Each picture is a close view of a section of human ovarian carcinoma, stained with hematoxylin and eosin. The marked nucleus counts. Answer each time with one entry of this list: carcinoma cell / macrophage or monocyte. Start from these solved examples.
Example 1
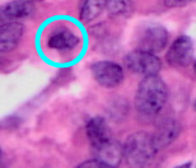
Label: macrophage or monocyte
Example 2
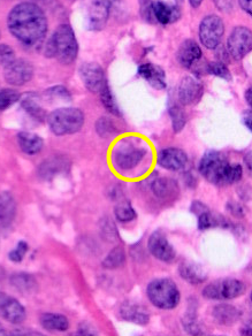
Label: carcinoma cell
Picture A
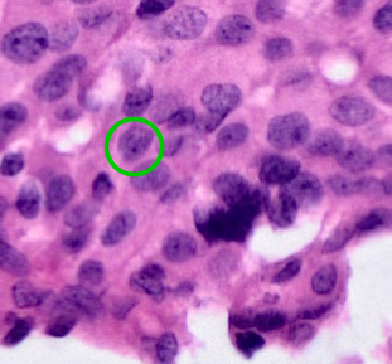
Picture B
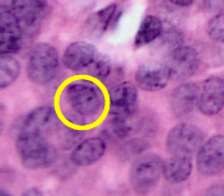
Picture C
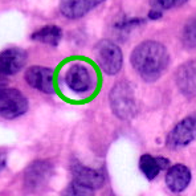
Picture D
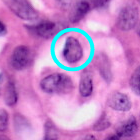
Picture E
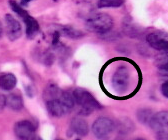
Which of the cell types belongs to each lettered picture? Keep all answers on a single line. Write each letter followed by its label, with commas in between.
A carcinoma cell, B carcinoma cell, C macrophage or monocyte, D macrophage or monocyte, E macrophage or monocyte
